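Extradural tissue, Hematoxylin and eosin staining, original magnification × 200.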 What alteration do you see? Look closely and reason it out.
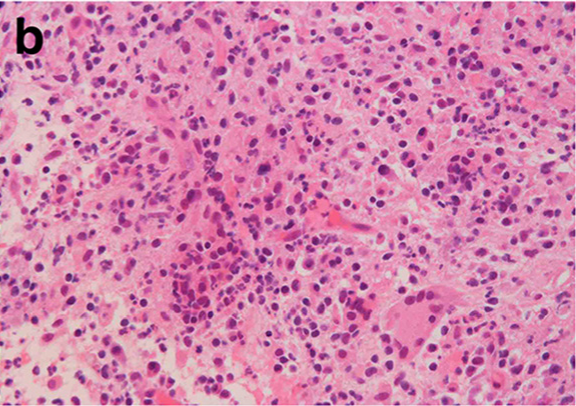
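Numerous round nucleated cells are scattered through loose pale pink stroma. Some larger cells with abundant pink cytoplasm lie among them. That points to this answer: inflammatory cells infiltrating.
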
